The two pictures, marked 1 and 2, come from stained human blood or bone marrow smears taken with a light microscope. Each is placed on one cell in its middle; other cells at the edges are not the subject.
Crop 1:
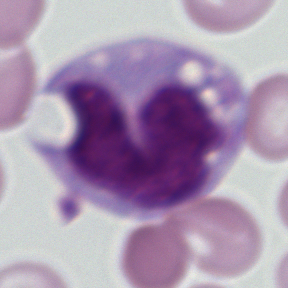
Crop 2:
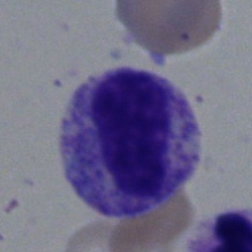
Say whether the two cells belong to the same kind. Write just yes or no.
no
